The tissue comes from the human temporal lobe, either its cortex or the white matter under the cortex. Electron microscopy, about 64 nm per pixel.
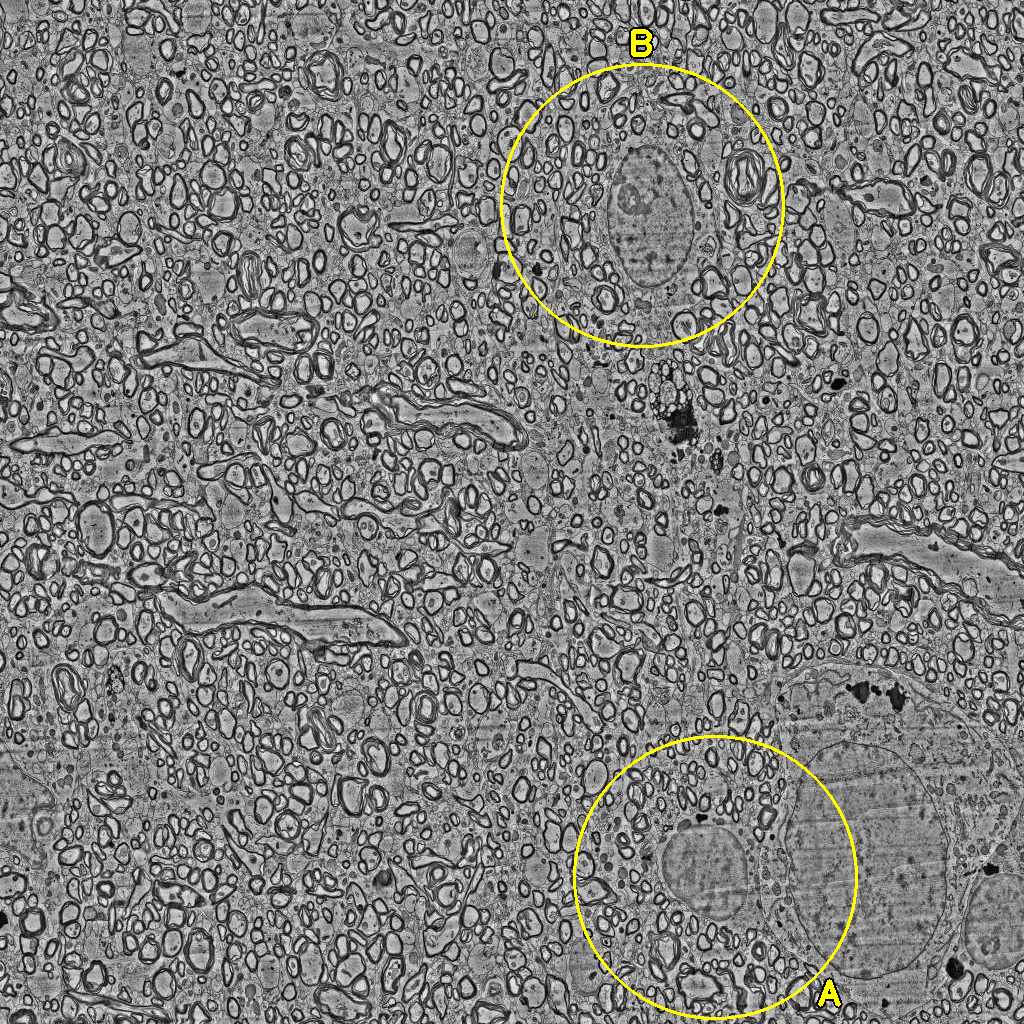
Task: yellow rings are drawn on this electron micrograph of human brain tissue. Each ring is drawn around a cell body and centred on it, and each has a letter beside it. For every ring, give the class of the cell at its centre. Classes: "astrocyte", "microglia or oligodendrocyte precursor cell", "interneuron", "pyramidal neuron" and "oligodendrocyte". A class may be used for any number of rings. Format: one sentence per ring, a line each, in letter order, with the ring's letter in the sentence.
The cell ringed as A is an oligodendrocyte.
The cell ringed as B is an astrocyte.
